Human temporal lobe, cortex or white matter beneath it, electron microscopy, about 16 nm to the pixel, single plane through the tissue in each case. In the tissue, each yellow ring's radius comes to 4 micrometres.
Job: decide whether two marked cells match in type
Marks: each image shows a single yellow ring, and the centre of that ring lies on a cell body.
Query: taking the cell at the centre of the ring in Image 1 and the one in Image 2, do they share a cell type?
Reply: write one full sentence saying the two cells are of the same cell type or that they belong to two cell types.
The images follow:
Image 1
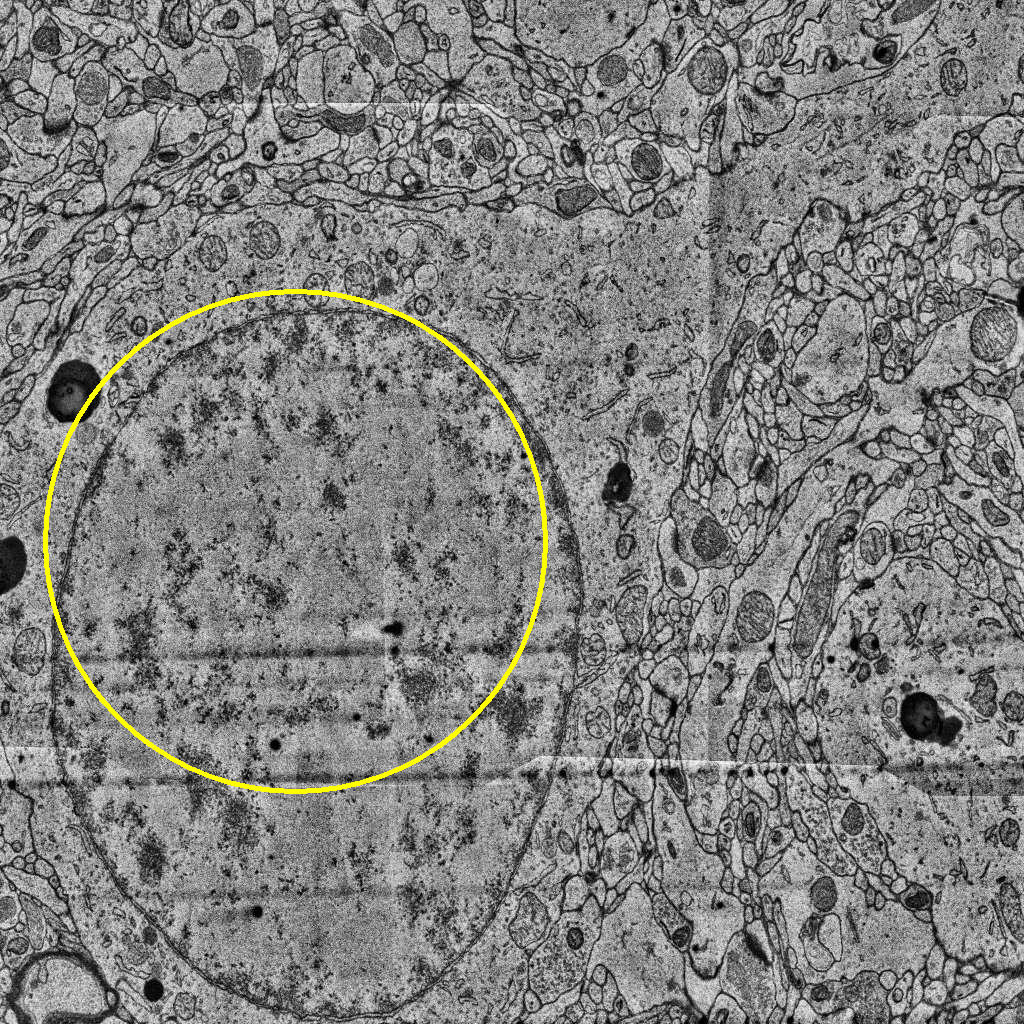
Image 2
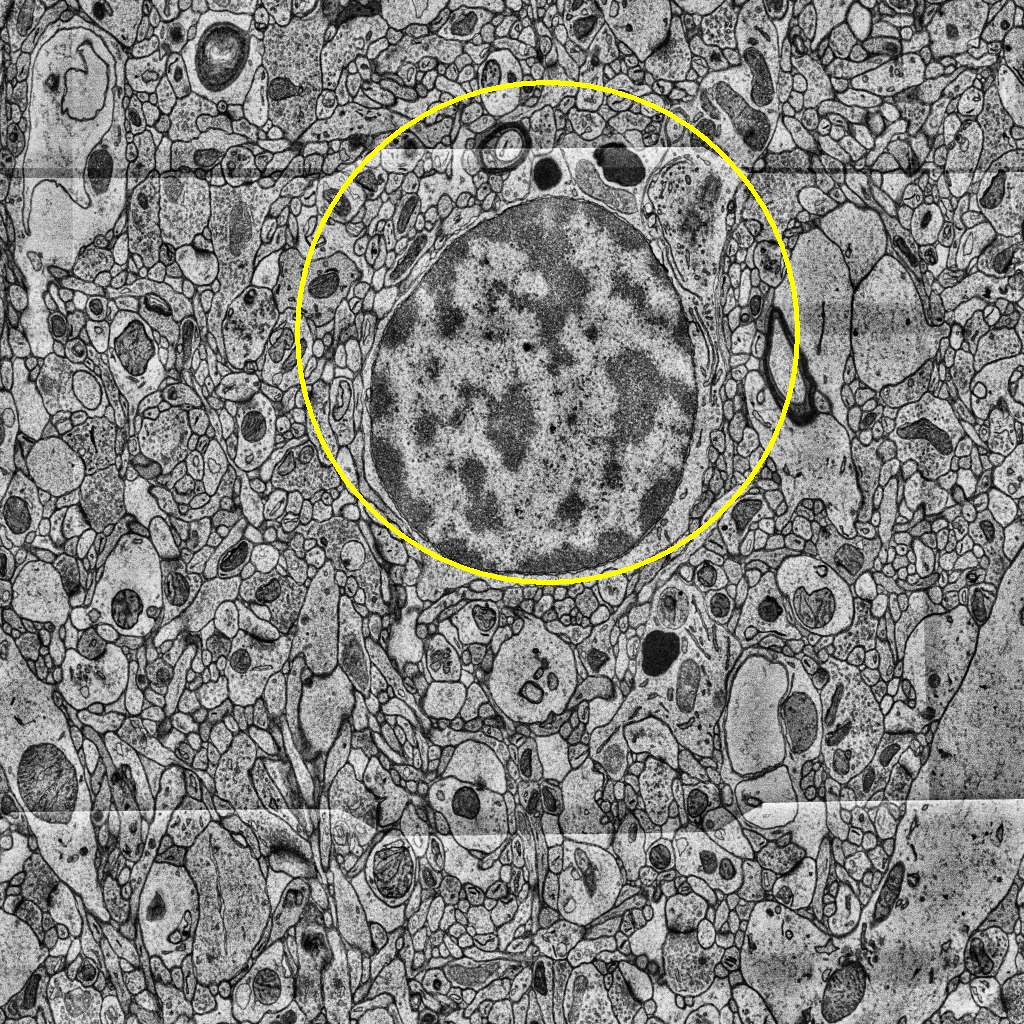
The cells at the ring centres in Image 1 and Image 2 belong to two cell types.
